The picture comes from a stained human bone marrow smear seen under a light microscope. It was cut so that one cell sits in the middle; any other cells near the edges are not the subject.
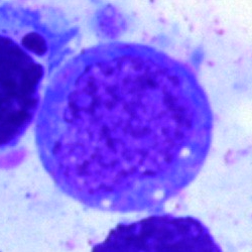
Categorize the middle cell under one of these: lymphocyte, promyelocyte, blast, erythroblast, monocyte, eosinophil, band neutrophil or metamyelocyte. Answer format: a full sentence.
In the centre of this crop there is a promyelocyte.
